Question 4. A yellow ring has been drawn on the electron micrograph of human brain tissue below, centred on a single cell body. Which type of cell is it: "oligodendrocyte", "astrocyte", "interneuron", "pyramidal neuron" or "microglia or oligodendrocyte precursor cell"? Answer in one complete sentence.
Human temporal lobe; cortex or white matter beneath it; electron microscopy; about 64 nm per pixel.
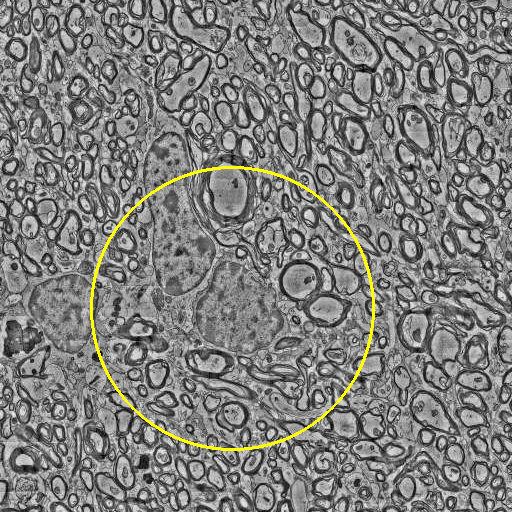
This cell body belongs to an oligodendrocyte.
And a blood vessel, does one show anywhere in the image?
No.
